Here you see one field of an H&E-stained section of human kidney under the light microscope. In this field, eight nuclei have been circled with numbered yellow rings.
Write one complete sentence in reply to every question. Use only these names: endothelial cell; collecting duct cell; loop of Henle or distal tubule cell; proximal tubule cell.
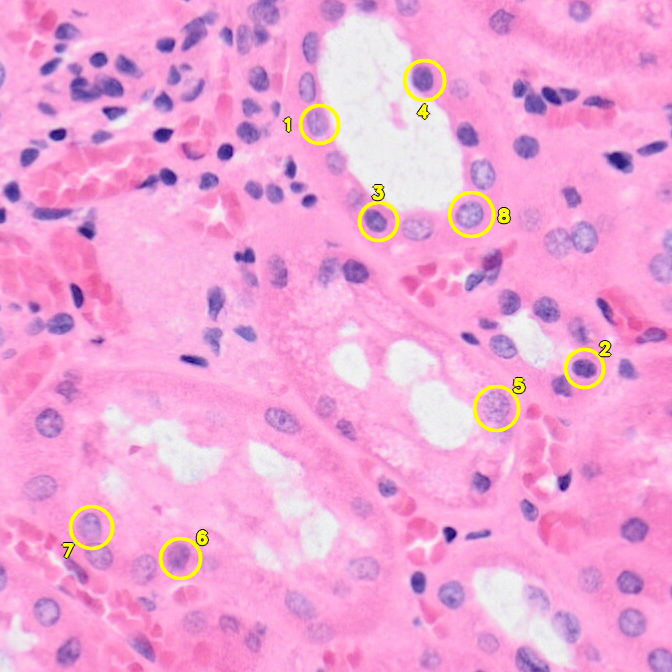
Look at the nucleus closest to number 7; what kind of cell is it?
Closest to number 7 lies the nucleus of a proximal tubule cell.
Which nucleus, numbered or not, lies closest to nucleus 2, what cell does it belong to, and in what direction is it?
A loop of Henle or distal tubule cell lies closest, below and to the left of nucleus 2.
